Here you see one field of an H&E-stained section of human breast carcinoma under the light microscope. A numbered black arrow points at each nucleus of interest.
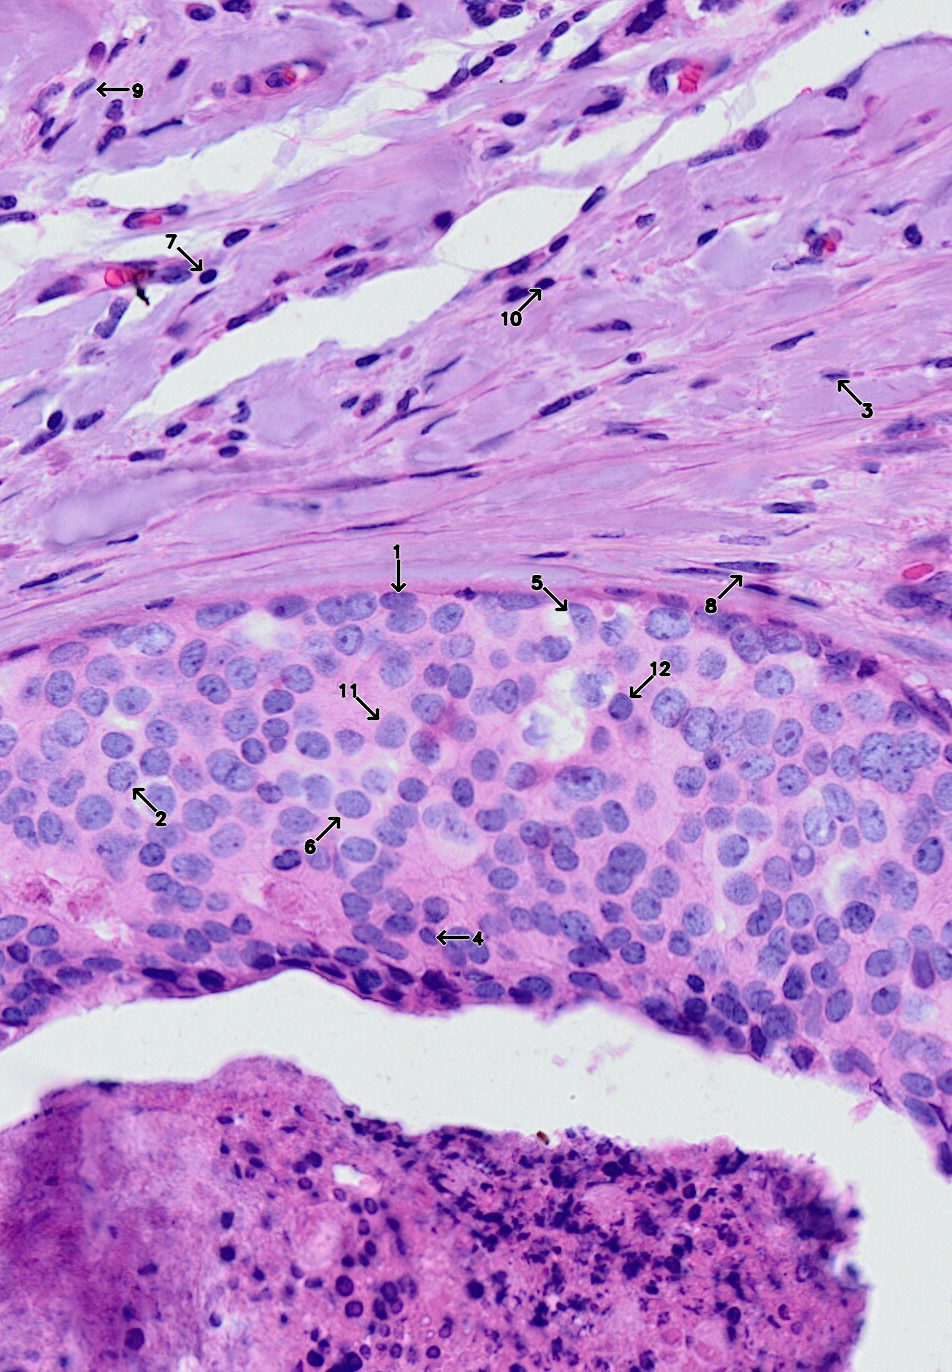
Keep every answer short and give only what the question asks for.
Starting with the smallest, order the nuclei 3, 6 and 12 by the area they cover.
3, 12, 6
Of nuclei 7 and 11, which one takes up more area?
11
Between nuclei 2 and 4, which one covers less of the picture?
4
